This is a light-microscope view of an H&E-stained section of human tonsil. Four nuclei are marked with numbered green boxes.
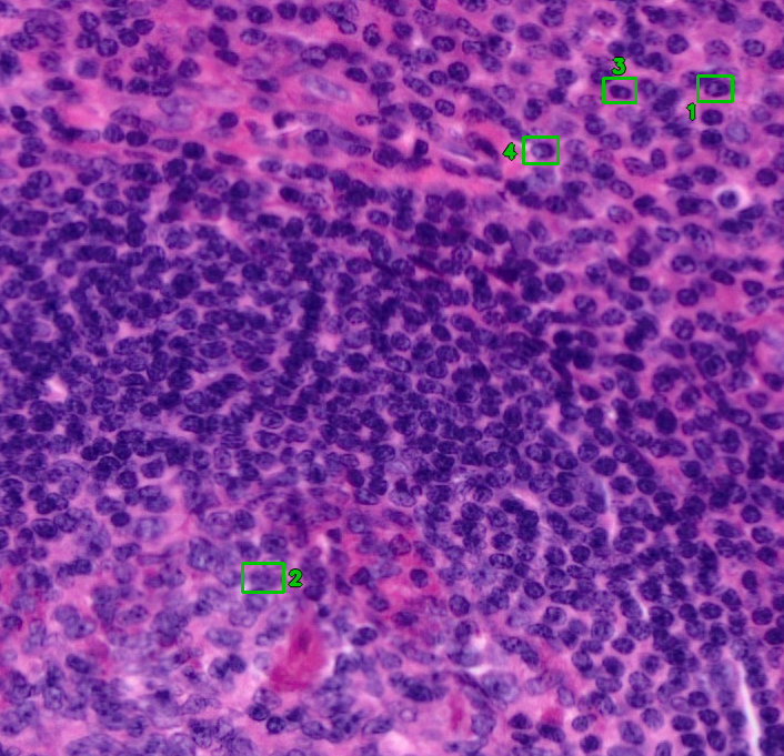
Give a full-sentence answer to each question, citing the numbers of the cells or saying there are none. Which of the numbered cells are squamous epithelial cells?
Not one numbered cell here is one of the squamous epithelial cells.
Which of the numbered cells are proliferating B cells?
Exactly one numbered cell is a proliferating B cell, and that cell is number 2.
